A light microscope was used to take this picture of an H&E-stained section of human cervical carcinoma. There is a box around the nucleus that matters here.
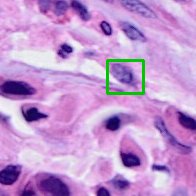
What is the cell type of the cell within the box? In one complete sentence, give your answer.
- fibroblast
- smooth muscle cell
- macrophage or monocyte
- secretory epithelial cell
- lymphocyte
Cell type answer for this item: the cell within the box is a macrophage or monocyte.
